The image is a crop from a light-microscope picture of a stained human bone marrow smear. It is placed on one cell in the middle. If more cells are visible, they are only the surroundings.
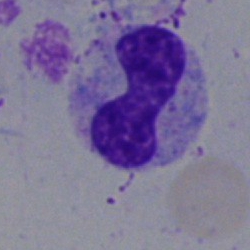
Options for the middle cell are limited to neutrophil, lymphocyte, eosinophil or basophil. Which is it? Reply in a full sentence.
Seen at the centre of the crop is a neutrophil.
